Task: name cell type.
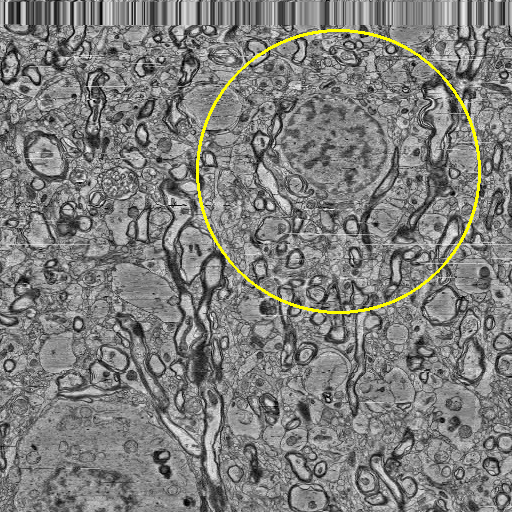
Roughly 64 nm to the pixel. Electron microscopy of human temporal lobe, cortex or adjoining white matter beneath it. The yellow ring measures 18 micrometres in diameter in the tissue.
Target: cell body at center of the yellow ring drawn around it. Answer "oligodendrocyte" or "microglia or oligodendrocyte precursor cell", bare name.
oligodendrocyte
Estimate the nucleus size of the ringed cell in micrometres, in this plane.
About 7 micrometers across, in this plane.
